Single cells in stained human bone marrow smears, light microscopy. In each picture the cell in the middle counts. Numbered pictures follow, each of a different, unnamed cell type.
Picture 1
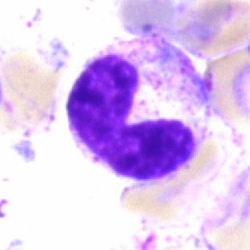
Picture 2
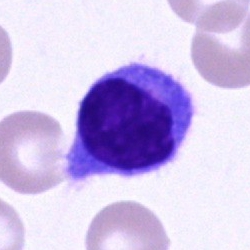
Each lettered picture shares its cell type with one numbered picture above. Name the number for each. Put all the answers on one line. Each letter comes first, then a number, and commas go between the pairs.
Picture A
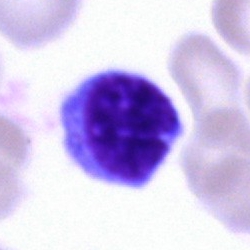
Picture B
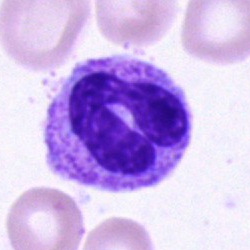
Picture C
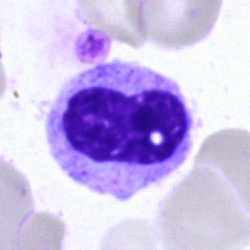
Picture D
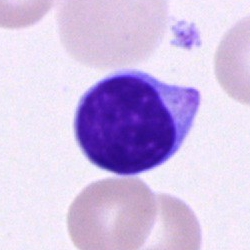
A 2, B 1, C 1, D 2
